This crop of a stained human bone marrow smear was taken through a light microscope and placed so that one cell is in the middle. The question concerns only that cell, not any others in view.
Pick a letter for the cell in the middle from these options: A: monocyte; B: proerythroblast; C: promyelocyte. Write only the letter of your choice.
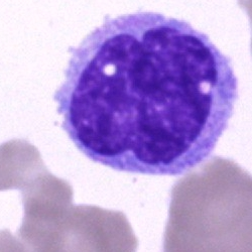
A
